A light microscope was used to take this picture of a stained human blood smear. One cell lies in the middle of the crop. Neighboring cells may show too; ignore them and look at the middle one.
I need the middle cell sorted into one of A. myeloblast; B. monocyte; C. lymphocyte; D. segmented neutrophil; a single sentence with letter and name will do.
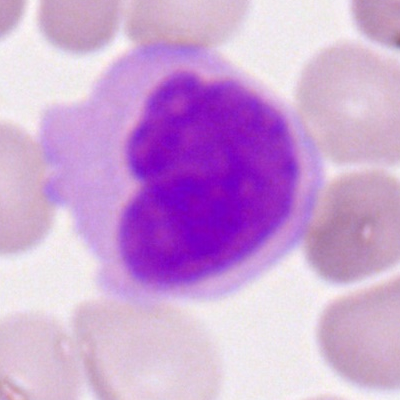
That middle cell is a monocyte, and option B is therefore correct.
